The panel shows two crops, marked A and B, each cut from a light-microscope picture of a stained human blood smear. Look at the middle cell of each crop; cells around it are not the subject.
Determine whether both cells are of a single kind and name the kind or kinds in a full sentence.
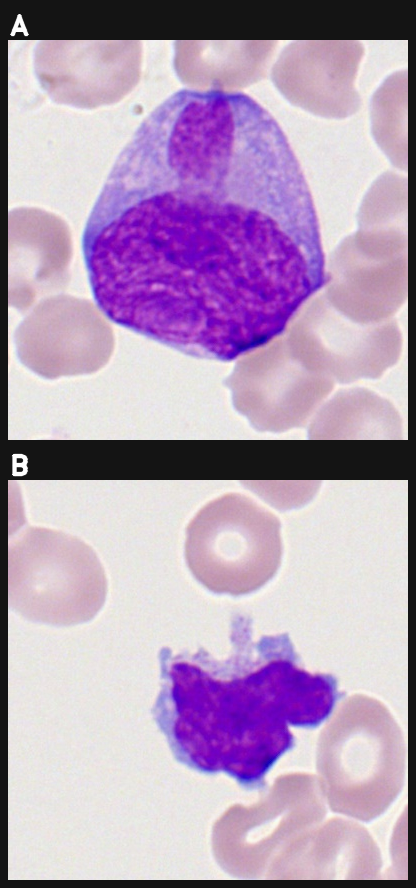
No, crop A has a myeloblast at its center, and crop B has a lymphocyte.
